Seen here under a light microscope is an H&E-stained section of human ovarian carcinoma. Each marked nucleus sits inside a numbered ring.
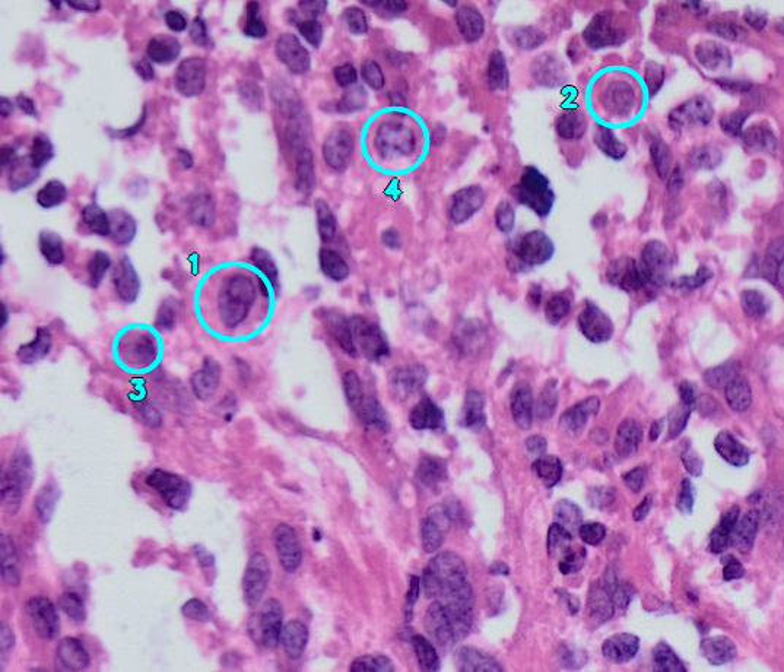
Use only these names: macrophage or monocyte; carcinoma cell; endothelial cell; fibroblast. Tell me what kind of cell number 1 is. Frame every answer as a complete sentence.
In this section, number 1 marks a carcinoma cell.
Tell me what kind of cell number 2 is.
The cell pointed out as number 2 is a carcinoma cell.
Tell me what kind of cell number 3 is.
Belonging to a carcinoma cell is the nucleus that carries the number 3.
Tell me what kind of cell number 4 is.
The nucleus marked 4 is the nucleus of a macrophage or monocyte.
